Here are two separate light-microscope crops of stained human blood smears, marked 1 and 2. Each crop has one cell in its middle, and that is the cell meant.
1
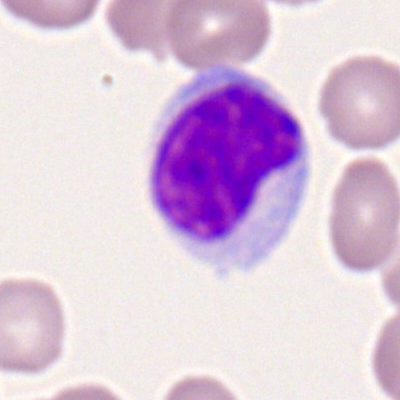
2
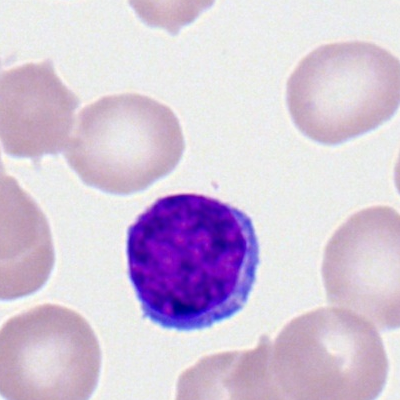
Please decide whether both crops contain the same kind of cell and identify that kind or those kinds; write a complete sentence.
Yes, at the centre of both crops are lymphocytes.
